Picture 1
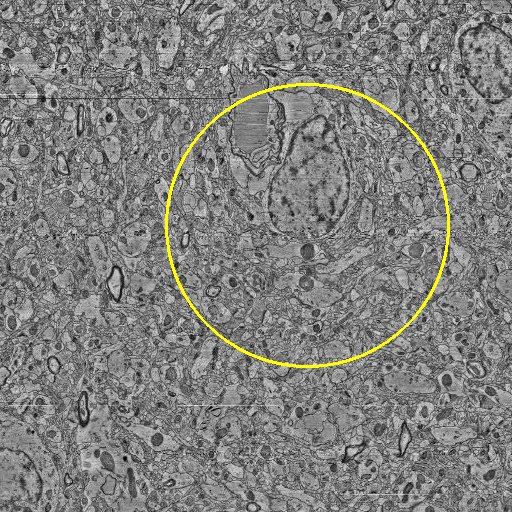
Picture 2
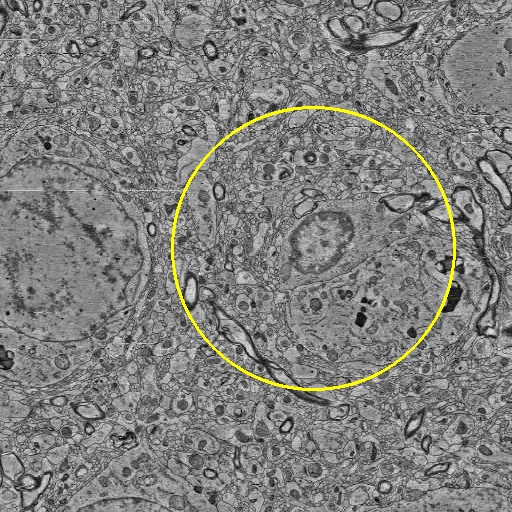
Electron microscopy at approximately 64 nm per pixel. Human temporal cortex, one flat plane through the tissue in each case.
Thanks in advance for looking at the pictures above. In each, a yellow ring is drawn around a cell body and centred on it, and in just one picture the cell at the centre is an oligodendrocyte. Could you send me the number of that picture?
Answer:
2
